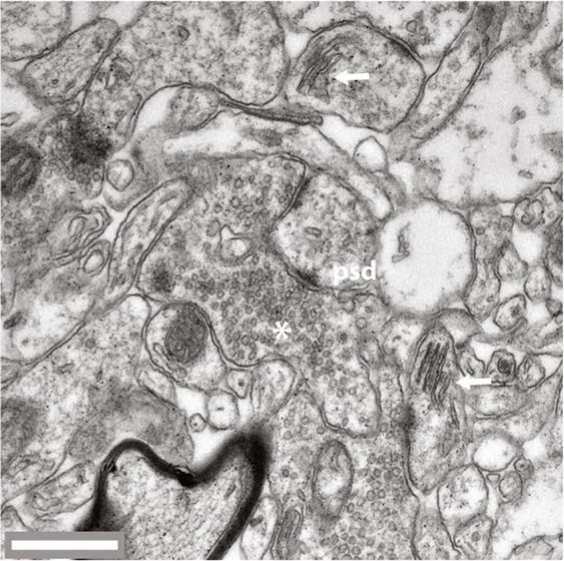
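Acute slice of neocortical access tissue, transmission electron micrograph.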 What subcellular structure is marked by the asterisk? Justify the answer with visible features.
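Vesicles. The asterisk lies in a profile packed with many small round clear membrane-bound spheres of uniform size. The profile is clustered near a dark thickened membrane contact.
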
